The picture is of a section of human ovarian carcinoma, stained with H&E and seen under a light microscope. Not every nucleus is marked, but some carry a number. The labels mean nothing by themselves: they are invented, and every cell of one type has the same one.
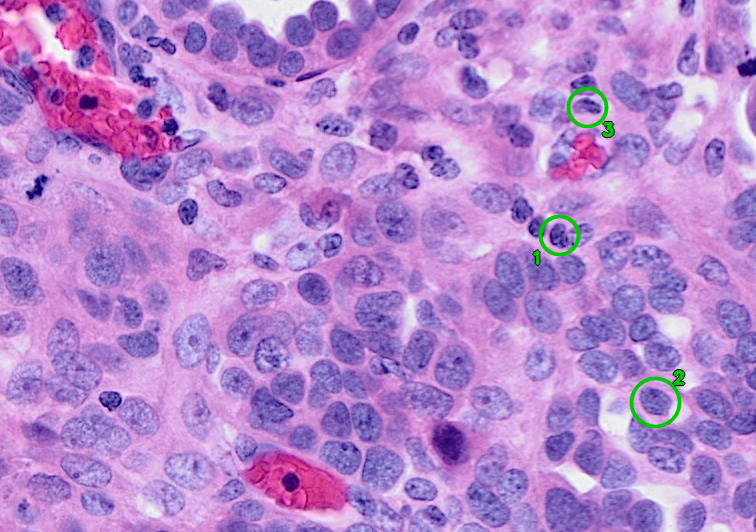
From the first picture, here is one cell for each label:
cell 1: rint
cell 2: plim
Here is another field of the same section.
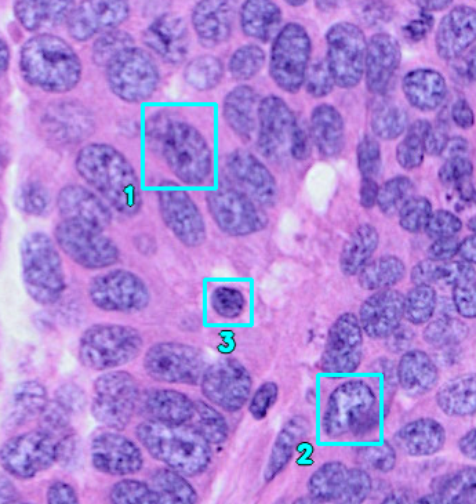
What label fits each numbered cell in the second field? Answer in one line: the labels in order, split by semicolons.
plim; plim; rint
